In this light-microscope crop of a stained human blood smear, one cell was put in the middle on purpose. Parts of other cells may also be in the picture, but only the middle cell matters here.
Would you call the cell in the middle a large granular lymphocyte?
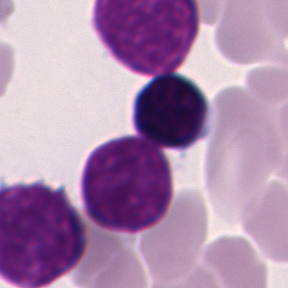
no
